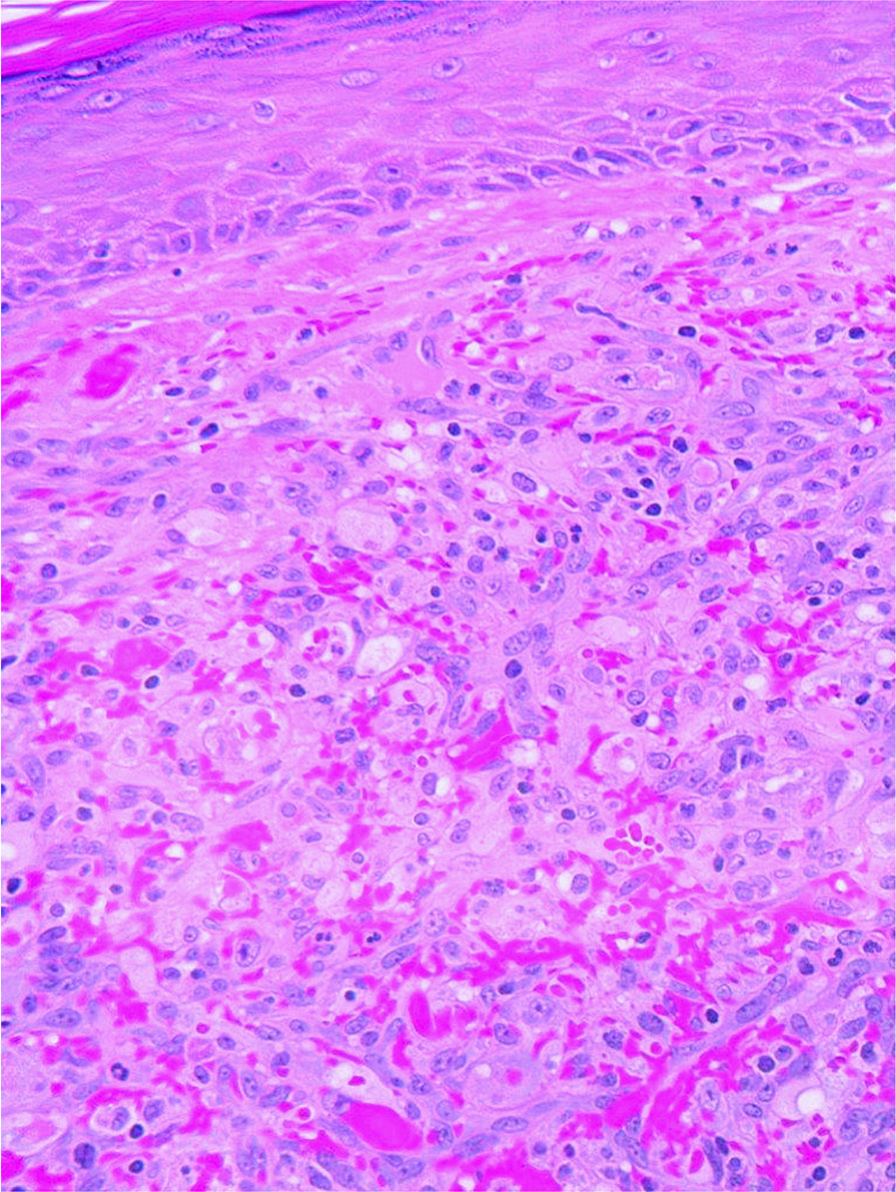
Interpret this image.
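Skin is shown, with the epidermis along the top edge and a dermis filled by sheets of epithelioid cells below it. The epithelioid cells are plump and polygonal, with abundant pale pink cytoplasm and large oval nuclei with open chromatin, many of which contain a visible nucleolus. Small round clear vacuoles lie within the cytoplasm of many of these cells. Bright red extravasated red blood cells are scattered between the cells throughout the dermis. Small cells with dense, round, dark nuclei are mixed in among the larger cells, forming an inflammatory infiltrate.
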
